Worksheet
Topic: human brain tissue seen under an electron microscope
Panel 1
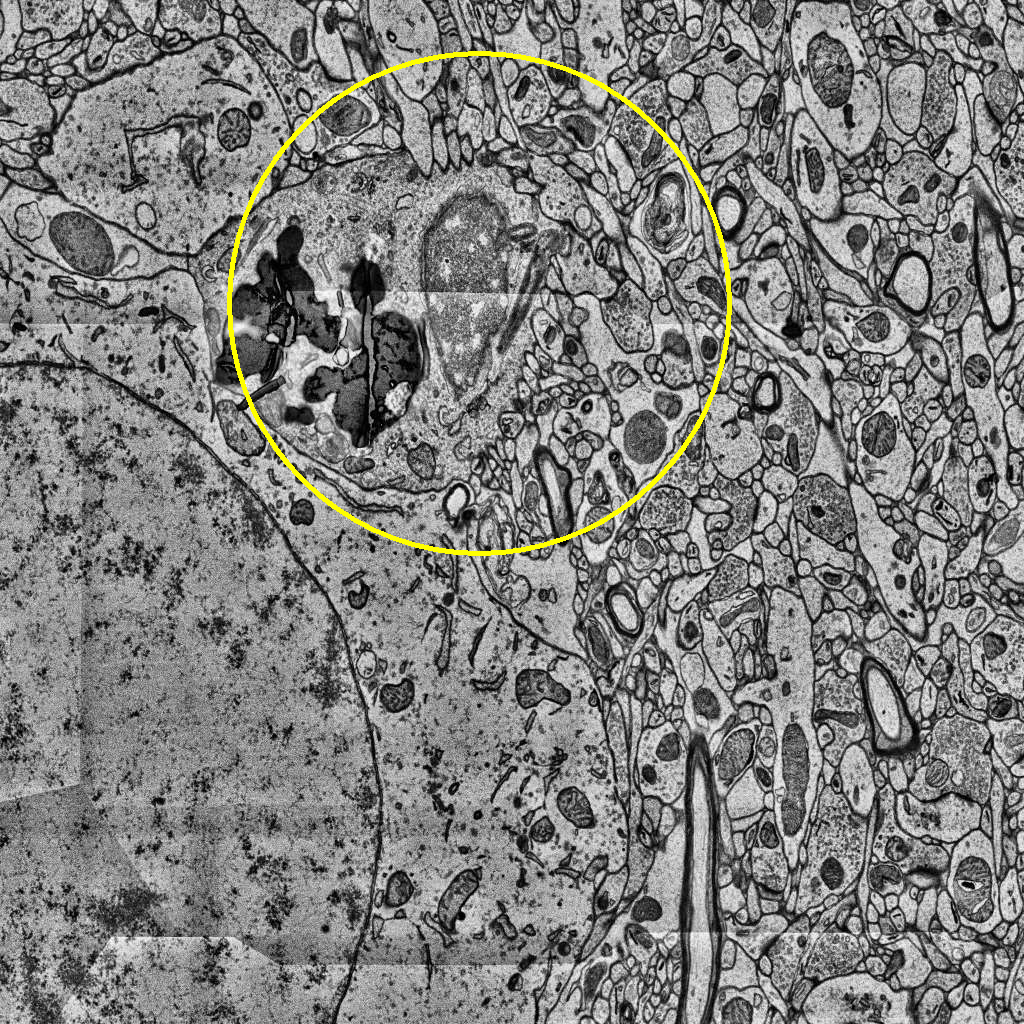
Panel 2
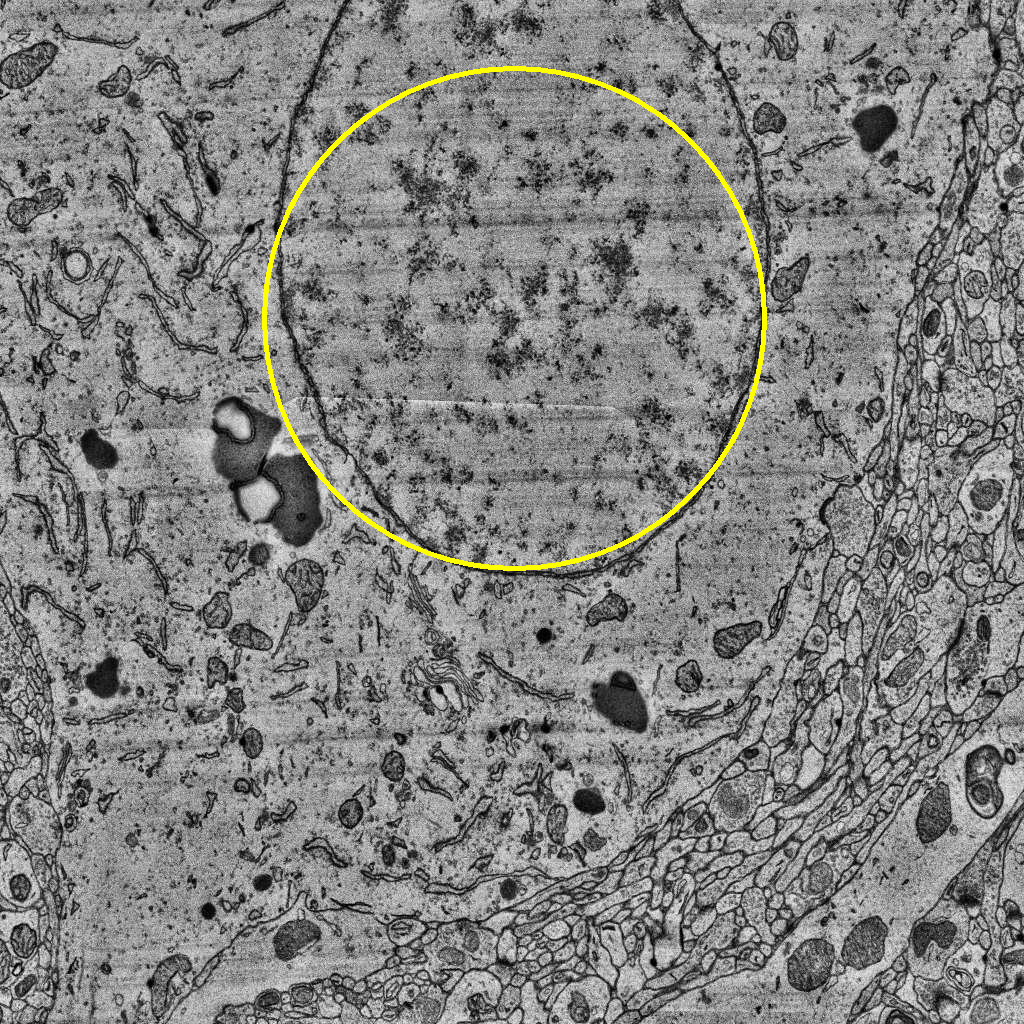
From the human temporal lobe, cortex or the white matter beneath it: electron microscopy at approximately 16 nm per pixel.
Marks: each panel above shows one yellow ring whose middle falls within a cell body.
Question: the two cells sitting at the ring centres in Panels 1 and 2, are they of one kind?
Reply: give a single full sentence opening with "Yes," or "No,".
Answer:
No, the two cells at the ring centres in Panel 1 and Panel 2 are of two kinds.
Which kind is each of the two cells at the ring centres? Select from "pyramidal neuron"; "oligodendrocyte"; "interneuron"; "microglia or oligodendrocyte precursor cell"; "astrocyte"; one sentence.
The cell at the centre of the ring is an oligodendrocyte in the first picture and a pyramidal neuron in the second.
